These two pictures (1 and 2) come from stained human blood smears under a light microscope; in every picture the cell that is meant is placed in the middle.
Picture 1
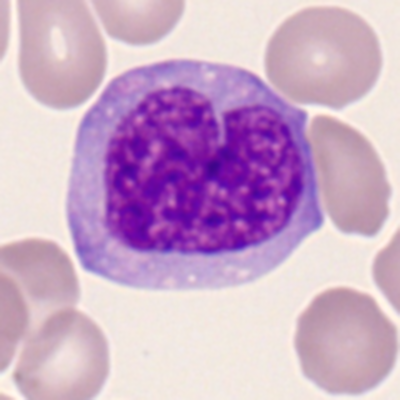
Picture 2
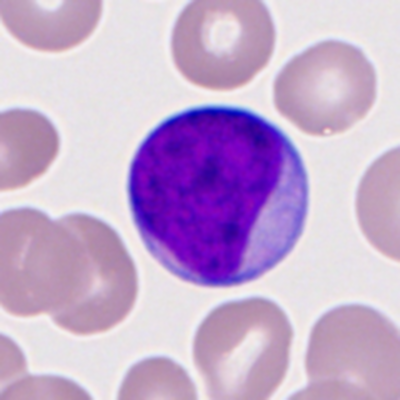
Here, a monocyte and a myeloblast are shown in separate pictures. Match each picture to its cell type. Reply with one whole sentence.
Picture 2 shows a myeloblast, while picture 1 shows a monocyte.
